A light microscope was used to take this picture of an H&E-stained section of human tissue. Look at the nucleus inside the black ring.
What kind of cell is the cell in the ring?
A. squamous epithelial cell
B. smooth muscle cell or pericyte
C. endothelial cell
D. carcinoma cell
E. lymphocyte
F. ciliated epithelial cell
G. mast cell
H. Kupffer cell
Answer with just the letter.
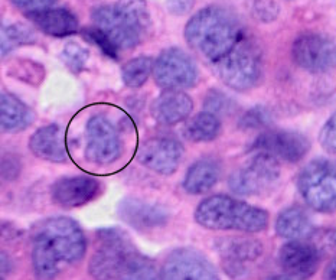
D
